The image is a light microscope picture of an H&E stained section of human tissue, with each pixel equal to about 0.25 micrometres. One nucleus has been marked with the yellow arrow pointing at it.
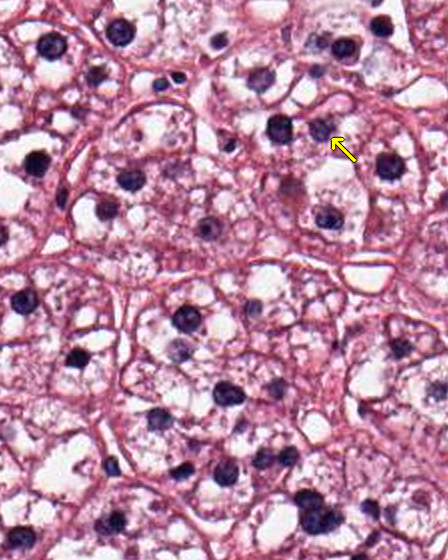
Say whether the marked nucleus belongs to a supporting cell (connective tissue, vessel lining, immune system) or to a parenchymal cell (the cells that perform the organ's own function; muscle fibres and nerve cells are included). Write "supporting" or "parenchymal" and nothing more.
parenchymal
